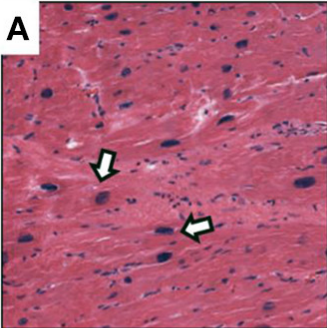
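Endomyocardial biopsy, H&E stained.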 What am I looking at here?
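Heart muscle cut lengthwise, with long pink cardiomyocytes running side by side and showing enlarged nuclei. Several nuclei are large, dark purple and oval, far bigger than the small dark nuclei in the narrow spaces between fibers. The cytoplasm is evenly pink and finely fibrillar. Thin pale clefts separate the fibers, with scattered small elongated interstitial nuclei along them.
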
